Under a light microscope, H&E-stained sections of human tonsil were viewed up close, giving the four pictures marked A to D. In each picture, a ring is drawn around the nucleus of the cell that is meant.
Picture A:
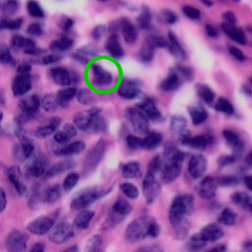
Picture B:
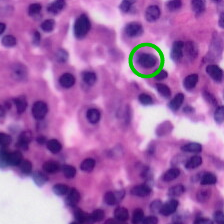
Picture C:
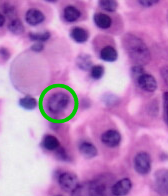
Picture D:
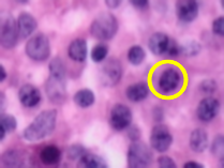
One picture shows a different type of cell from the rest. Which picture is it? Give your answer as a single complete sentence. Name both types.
Unlike the rest, which show plasma cells, picture A shows a proliferating B cell.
